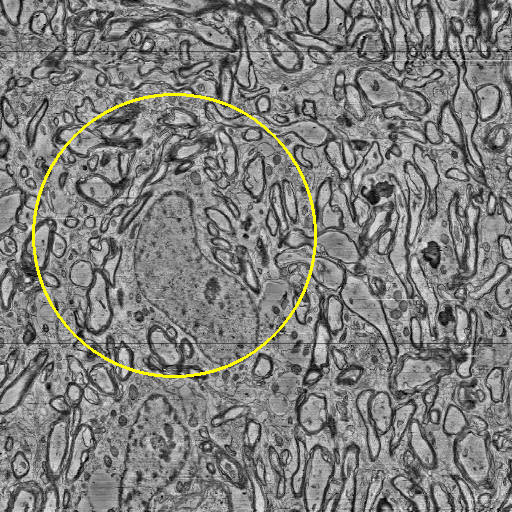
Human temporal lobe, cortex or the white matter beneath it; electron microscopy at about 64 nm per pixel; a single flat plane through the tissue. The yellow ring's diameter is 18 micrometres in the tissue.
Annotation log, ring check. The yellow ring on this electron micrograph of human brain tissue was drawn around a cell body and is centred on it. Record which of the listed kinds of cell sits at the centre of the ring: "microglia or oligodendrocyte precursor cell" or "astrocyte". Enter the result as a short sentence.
The cell at the centre of the ring is an astrocyte.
